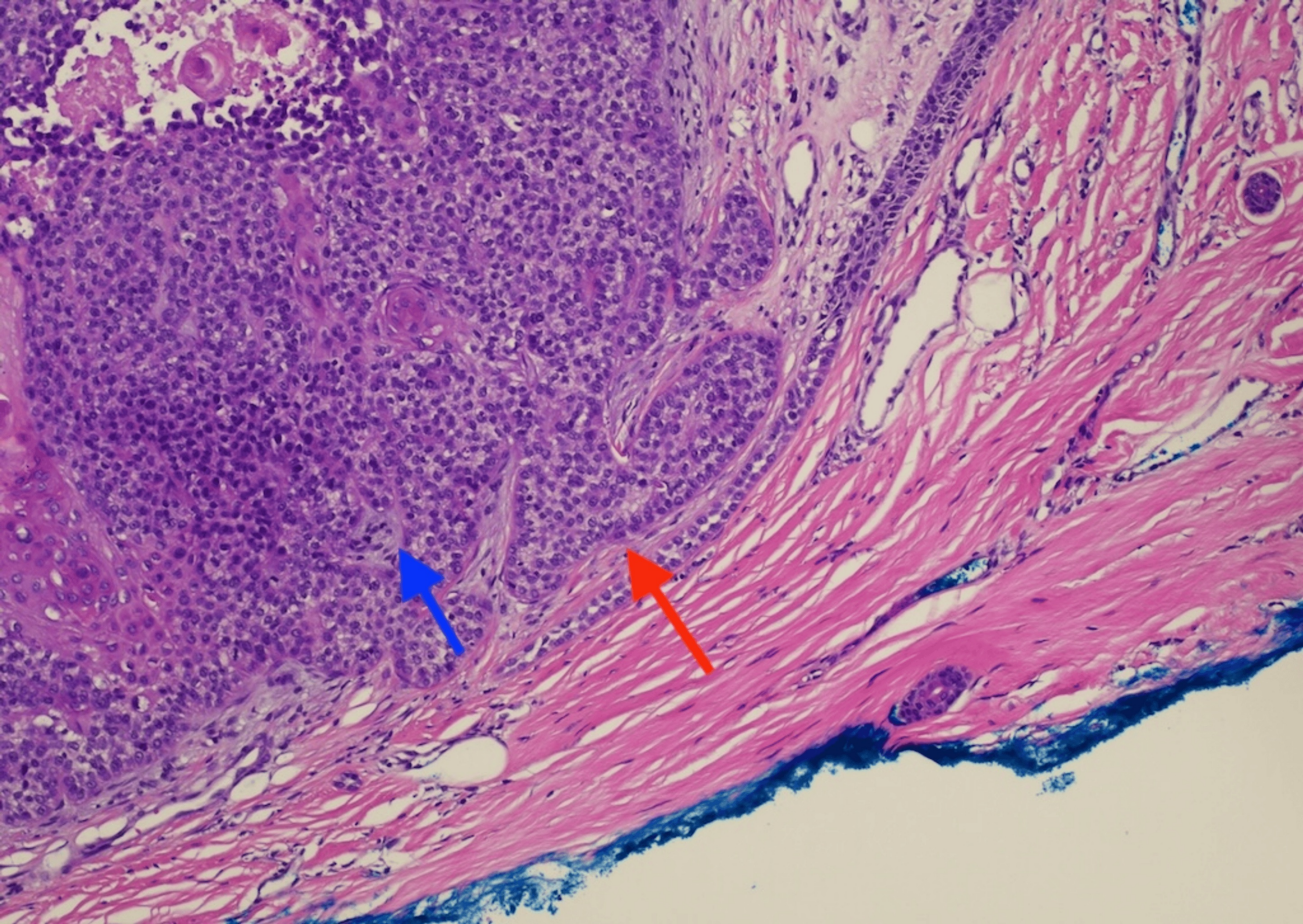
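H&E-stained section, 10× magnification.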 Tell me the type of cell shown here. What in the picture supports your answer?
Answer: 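Large crowded nests of cells with dark purple nuclei and scant cytoplasm. The nests are set within pink collagenous stroma. The answer: basaloid keratinocytes.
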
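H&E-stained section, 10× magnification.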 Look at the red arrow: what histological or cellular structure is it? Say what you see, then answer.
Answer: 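At the edge of the tumour nest the outermost nuclei line up in a single row. The aligned nuclei lie along the border with the pink fibrous stroma. On this evidence: Peripheral palisading.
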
